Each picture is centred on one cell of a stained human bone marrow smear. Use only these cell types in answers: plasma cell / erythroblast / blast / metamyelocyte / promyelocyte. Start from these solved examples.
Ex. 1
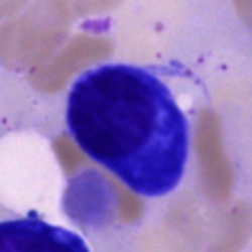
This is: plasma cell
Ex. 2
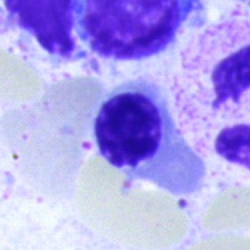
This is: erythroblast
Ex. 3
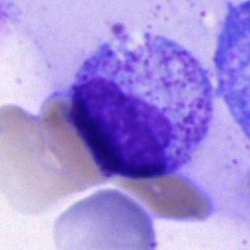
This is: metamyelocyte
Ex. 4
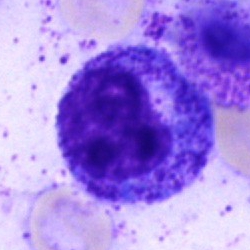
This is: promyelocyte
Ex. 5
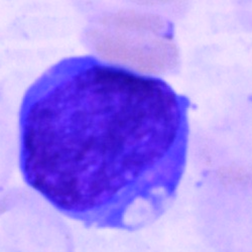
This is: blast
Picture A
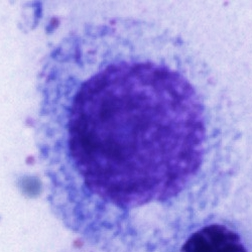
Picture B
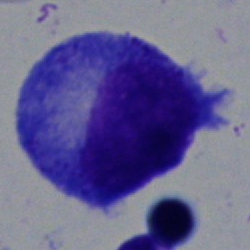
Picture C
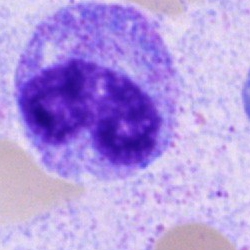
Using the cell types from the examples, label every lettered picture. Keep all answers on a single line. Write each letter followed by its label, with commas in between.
A promyelocyte, B promyelocyte, C metamyelocyte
